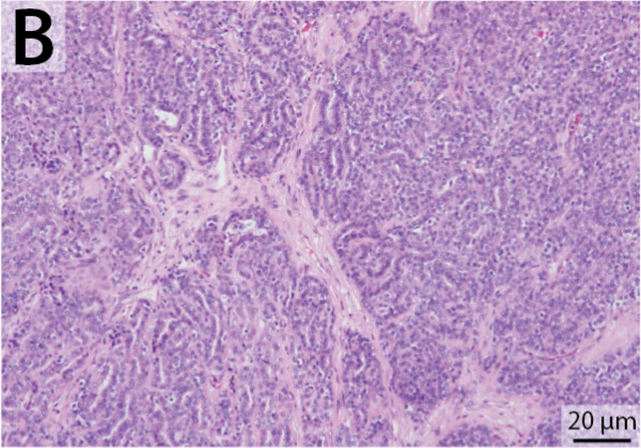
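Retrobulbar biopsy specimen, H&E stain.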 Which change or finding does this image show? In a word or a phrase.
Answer: Adenocarcinoma.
